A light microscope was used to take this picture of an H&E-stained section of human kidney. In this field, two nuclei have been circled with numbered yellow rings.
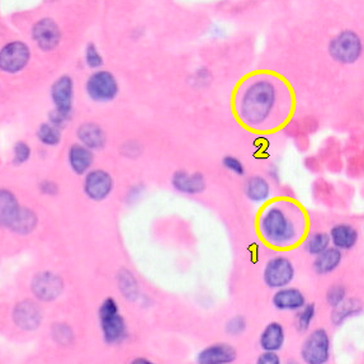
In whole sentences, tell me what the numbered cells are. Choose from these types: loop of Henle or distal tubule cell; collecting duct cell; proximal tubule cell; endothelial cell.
Cell 1 is a collecting duct cell. Cell 2 is a proximal tubule cell.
